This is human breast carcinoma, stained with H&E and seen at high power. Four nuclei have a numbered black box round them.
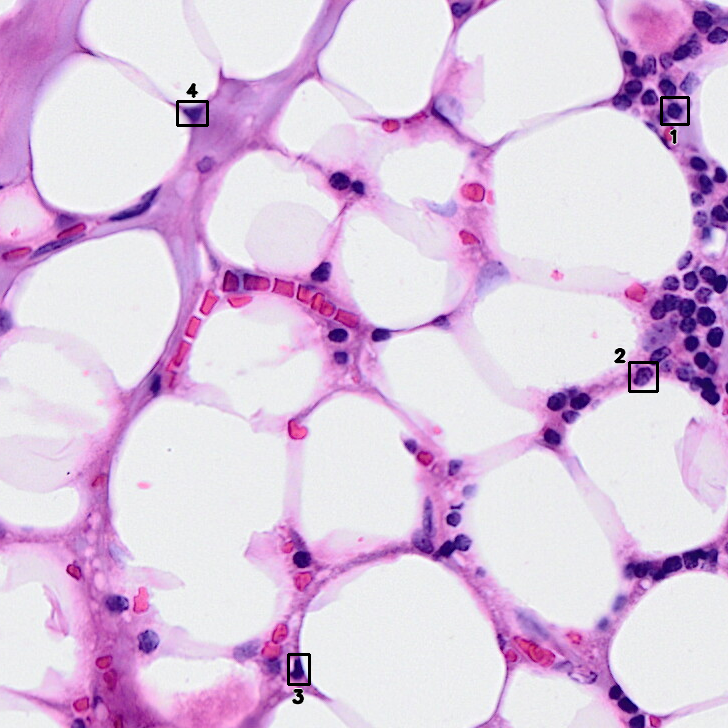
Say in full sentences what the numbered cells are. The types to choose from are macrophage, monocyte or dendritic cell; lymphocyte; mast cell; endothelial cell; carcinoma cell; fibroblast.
Cells 1 and 2 are lymphocytes. Cell 3 is an endothelial cell. Cell 4 is a fibroblast.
